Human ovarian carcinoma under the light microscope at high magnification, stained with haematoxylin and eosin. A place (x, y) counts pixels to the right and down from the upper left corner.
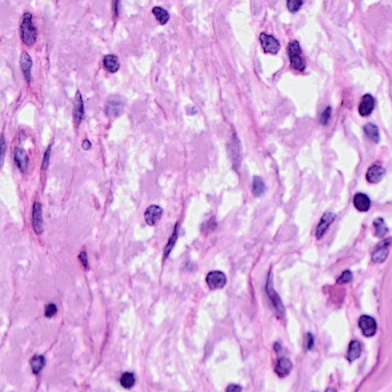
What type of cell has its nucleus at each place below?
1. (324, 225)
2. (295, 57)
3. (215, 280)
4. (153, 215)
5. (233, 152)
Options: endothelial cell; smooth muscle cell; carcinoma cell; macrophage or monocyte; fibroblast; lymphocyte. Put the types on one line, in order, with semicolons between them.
macrophage or monocyte; macrophage or monocyte; lymphocyte; lymphocyte; fibroblast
